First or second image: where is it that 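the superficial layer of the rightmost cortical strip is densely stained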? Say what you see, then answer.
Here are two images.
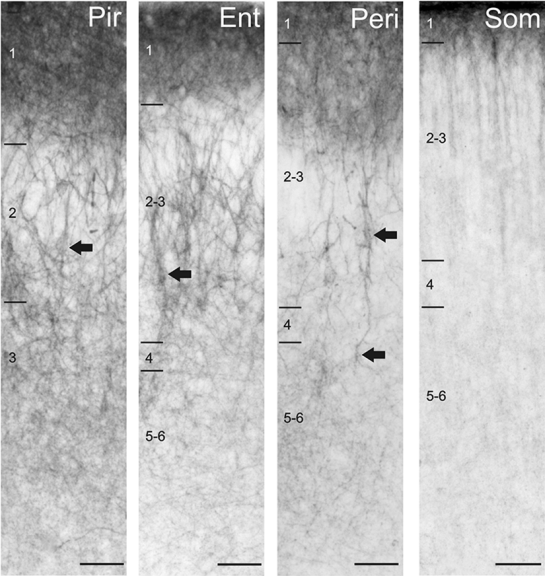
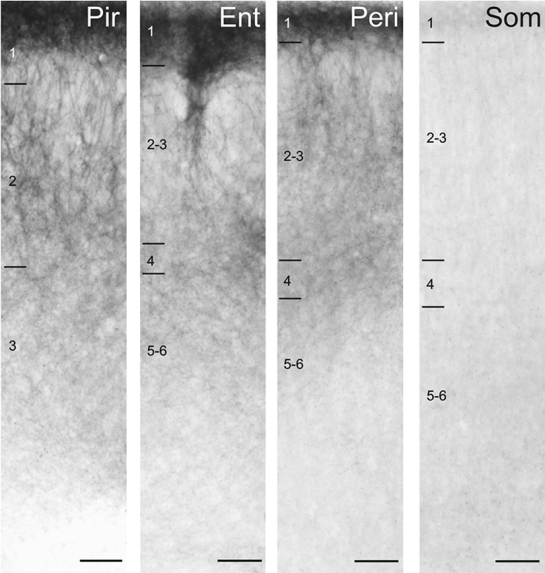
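First image: the top layer of the rightmost strip is dark, with fine processes descending from it. Second image: the rightmost strip is pale throughout, with only faint diffuse grey. On this evidence: the first image.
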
